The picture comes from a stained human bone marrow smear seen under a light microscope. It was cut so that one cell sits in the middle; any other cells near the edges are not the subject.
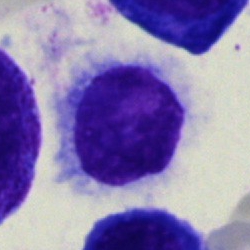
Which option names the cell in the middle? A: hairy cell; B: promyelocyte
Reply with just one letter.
A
